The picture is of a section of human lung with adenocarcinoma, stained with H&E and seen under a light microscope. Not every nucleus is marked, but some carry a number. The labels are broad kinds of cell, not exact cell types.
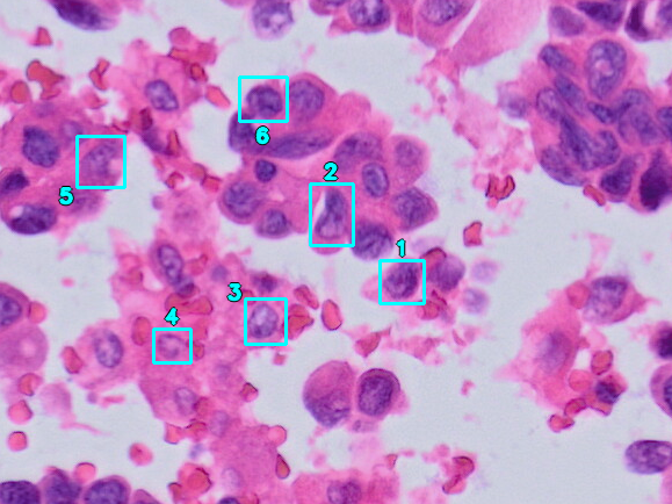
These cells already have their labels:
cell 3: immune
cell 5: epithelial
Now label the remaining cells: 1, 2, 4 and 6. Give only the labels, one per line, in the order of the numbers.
epithelial
epithelial
immune
epithelial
